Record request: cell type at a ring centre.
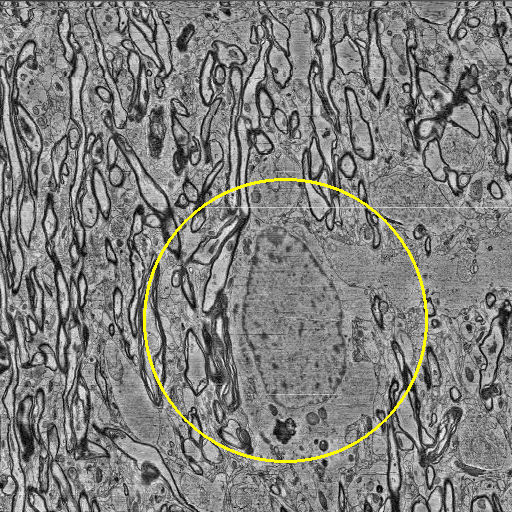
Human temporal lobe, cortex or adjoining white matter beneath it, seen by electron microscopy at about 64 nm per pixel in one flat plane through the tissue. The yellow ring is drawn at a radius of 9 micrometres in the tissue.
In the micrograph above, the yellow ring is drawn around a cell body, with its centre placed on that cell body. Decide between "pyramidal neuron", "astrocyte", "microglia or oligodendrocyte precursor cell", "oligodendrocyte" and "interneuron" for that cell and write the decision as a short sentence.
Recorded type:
The cell centred in the yellow ring is an astrocyte.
